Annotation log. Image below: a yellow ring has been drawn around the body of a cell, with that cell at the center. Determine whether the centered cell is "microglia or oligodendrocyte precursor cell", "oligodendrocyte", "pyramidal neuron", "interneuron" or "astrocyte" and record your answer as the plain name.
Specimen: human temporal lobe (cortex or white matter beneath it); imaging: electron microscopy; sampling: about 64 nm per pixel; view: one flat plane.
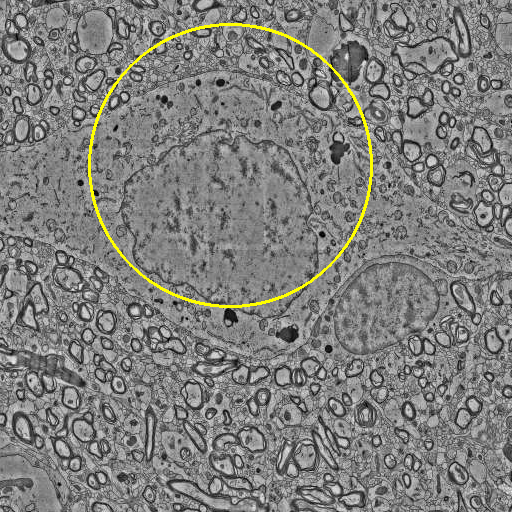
pyramidal neuron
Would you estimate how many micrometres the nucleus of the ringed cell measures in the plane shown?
In this plane, the nucleus is roughly 13 by 11 micrometres.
